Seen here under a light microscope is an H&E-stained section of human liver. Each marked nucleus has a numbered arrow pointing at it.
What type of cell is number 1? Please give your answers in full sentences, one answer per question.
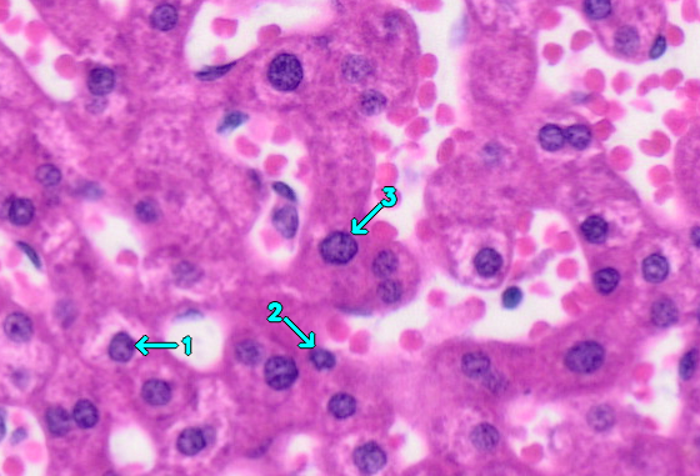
The cell to which the number 1 is assigned is a hepatocyte.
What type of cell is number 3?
Among the marked nuclei, number 3 belongs to a hepatocyte.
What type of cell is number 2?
Cell 2 of the marked set is a fibroblast or stellate cell.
